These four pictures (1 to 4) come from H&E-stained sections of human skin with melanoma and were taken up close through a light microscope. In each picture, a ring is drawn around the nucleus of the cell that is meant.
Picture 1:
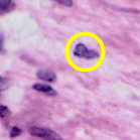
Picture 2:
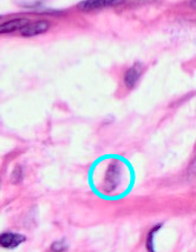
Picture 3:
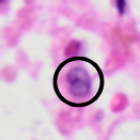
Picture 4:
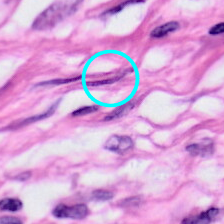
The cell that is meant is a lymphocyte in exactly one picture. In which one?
1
